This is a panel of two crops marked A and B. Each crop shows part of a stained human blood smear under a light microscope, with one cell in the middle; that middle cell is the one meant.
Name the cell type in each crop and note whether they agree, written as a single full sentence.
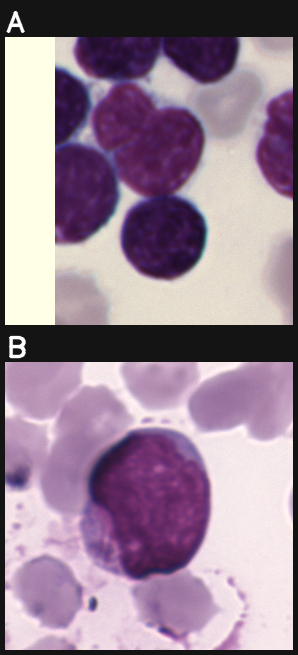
Yes, the two crops share the same answer, blasts.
